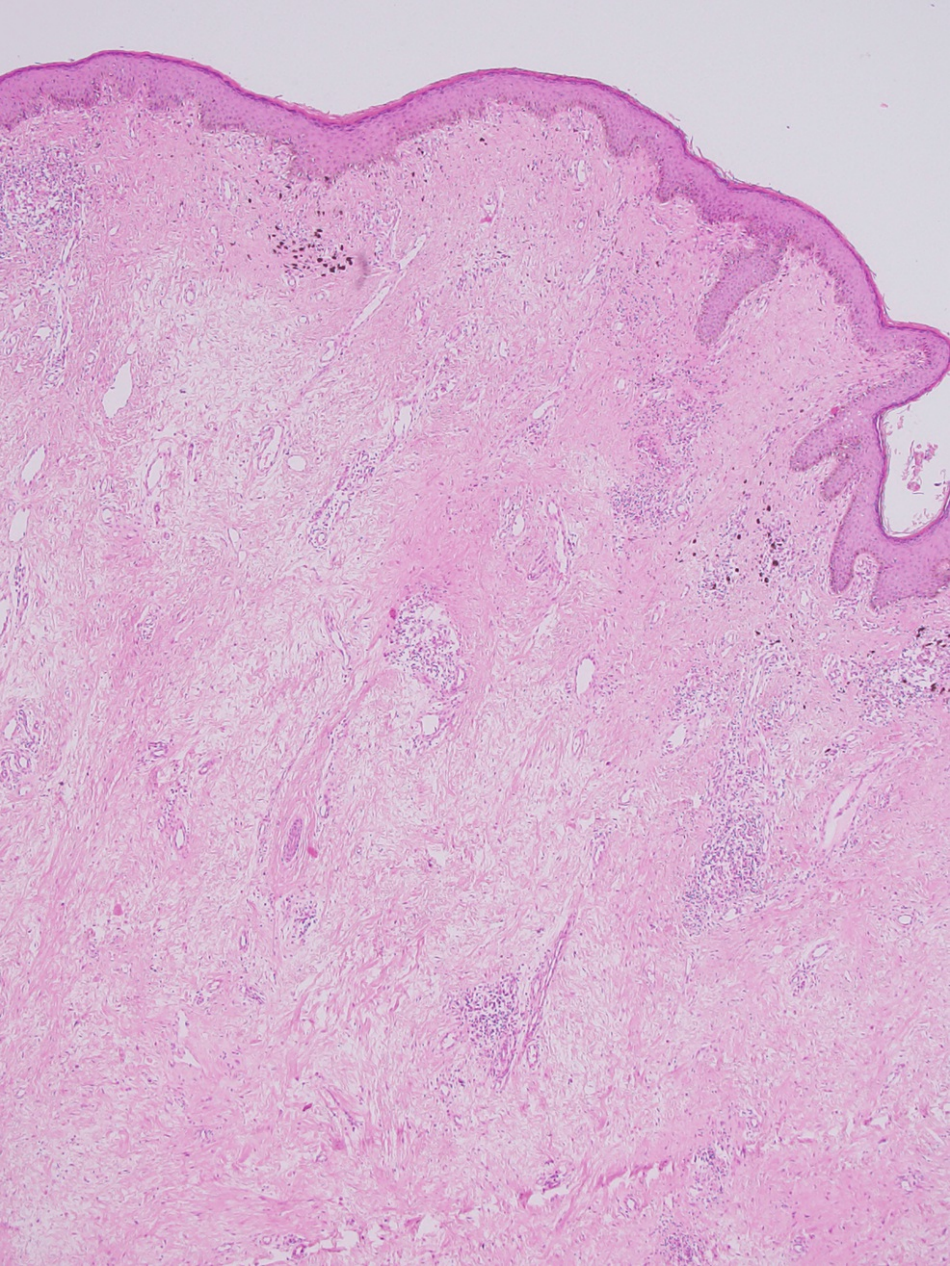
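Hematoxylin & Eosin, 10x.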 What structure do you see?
Collagen fibers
